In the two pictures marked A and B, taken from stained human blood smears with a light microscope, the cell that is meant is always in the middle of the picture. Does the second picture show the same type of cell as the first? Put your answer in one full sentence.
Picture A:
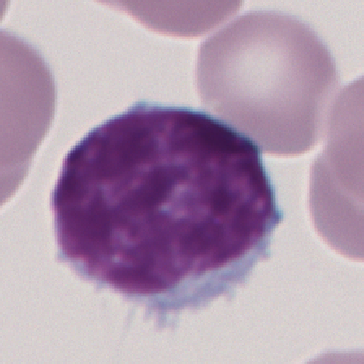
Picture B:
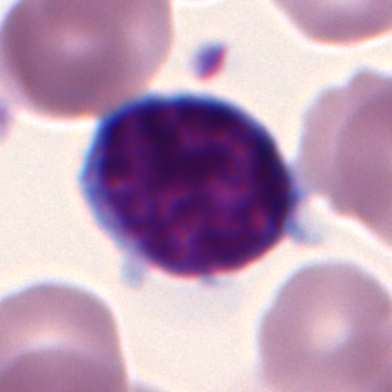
Yes, they are the same type: both are typical lymphocytes.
